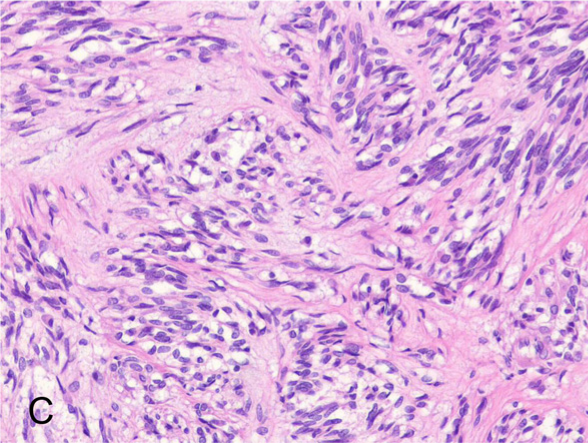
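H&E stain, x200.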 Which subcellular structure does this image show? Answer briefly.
Perinuclear vacuoles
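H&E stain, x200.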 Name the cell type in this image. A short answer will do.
Spindle-shaped cells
